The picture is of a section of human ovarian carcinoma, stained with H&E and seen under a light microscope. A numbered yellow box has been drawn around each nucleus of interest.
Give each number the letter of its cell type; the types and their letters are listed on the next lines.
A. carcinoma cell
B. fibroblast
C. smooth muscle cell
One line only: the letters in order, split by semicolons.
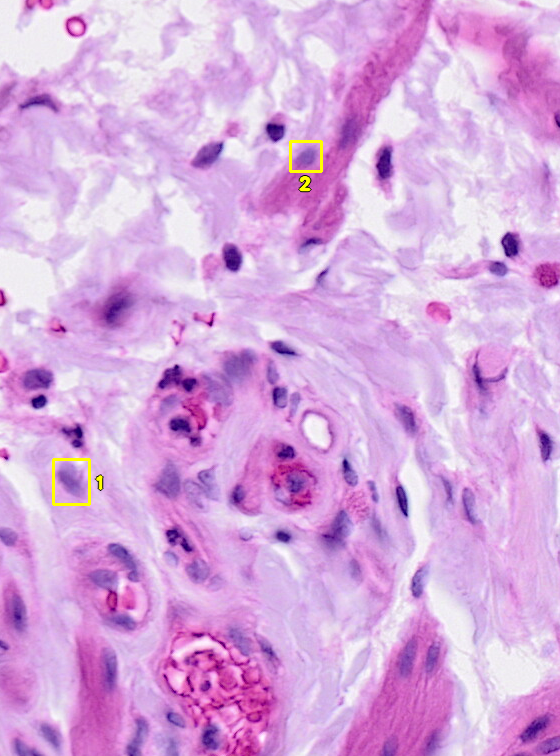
B; C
